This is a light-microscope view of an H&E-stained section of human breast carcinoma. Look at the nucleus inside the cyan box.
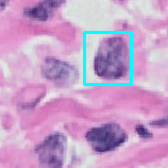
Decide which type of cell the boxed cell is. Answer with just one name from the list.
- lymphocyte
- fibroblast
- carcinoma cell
carcinoma cell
